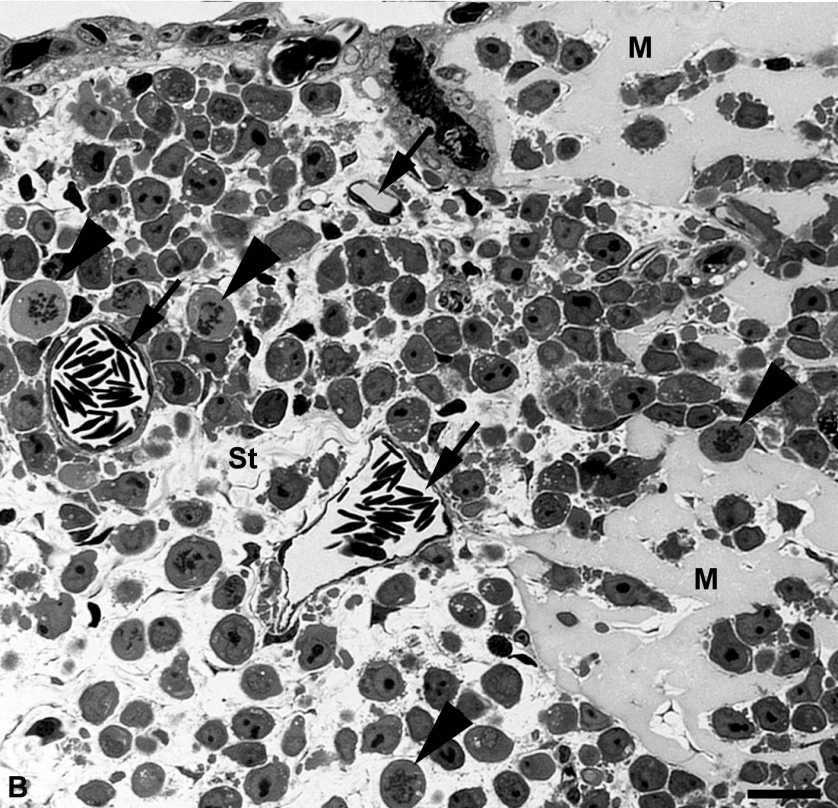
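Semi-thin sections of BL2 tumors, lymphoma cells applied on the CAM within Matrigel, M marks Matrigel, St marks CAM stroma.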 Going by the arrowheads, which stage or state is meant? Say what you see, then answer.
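The marked round cells show clumped dark chromosomes instead of a nucleus with a nucleolus. The marked cells lack a nuclear outline. The answer: Mitotic figures.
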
